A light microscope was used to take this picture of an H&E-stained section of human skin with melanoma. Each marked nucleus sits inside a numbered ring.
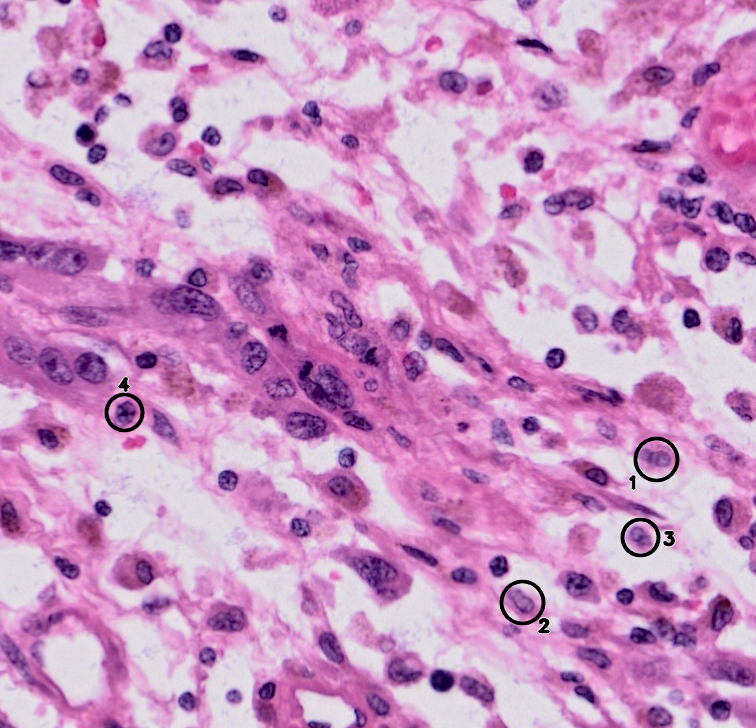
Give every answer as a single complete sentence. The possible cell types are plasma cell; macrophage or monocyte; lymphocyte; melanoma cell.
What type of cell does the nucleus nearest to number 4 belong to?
The cell nearest to number 4 is a macrophage or monocyte.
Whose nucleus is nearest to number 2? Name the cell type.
The cell nearest to number 2 is a macrophage or monocyte.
